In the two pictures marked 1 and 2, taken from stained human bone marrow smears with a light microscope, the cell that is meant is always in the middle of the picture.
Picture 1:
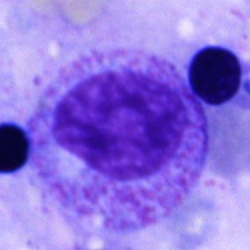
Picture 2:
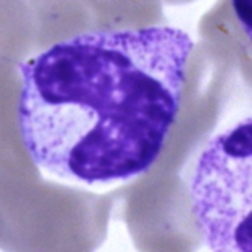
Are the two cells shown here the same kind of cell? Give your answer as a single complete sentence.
No, picture 1 shows a promyelocyte and picture 2 shows a band neutrophil.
